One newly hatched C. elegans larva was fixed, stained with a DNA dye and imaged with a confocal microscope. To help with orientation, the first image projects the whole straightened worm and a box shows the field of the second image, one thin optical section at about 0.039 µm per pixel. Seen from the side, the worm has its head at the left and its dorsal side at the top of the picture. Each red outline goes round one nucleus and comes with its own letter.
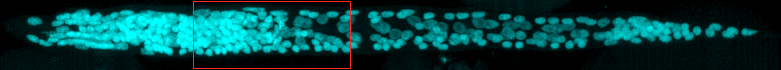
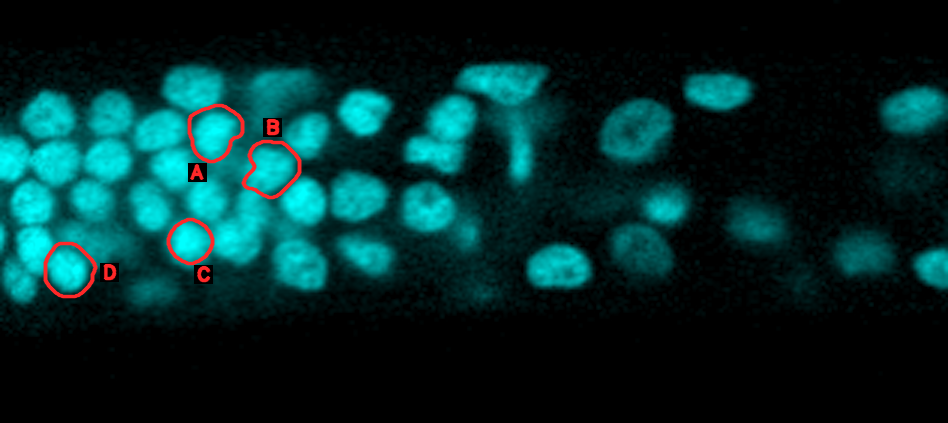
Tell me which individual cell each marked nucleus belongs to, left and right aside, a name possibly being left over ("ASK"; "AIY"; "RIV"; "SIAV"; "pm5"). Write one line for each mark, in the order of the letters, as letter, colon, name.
A: RIV
B: pm5
C: AIY
D: SIAV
